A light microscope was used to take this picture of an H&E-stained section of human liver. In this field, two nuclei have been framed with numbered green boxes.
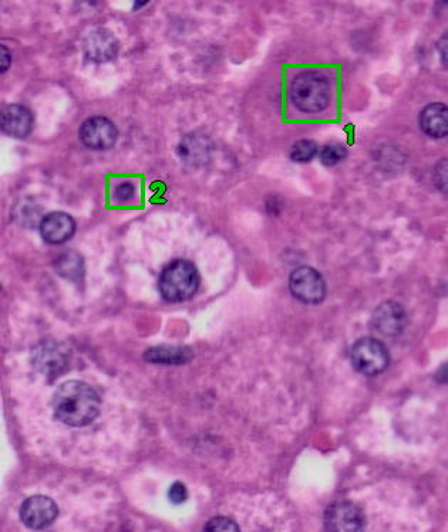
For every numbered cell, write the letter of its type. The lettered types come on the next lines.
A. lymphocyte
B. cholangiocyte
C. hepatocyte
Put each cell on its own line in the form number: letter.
1: C
2: A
